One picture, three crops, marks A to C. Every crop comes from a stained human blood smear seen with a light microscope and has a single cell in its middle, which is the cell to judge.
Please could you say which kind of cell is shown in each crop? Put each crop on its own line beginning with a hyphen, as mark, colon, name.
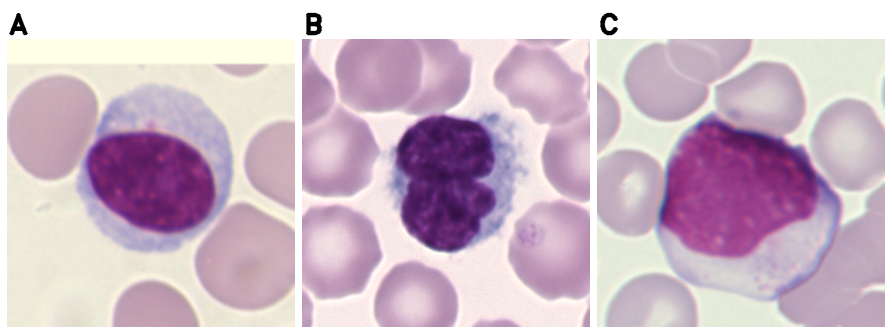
- A: typical lymphocyte
- B: hairy cell
- C: large granular lymphocyte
